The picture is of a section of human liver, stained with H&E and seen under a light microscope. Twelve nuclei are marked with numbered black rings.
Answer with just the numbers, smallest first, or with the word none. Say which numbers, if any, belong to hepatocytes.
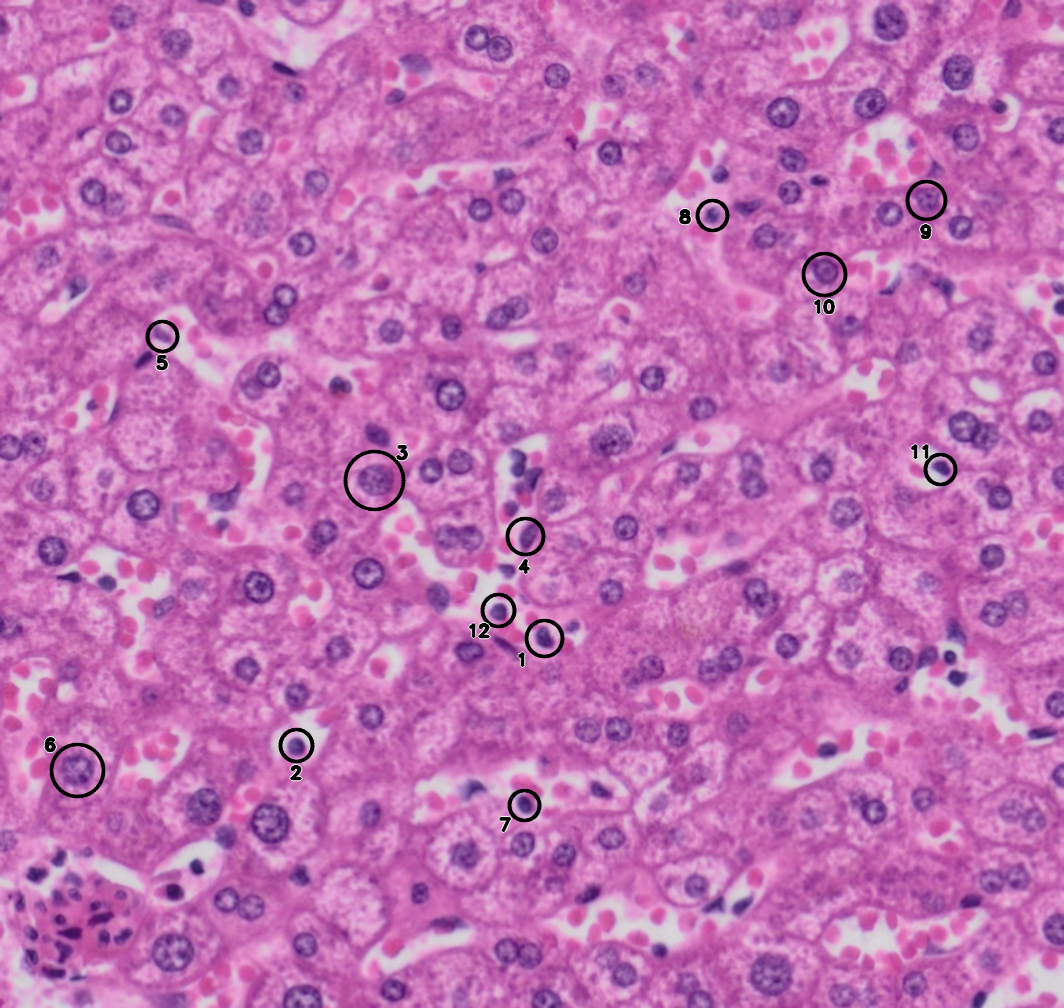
3, 6, 9, 10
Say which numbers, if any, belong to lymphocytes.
1, 2, 7, 8, 11, 12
